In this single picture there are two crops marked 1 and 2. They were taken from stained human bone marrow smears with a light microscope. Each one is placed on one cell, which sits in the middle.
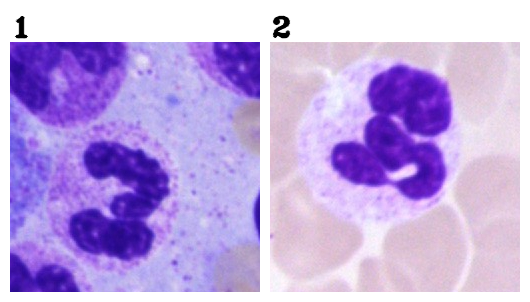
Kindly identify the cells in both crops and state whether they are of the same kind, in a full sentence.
Yes, in both of the crops, the central cells are neutrophils.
